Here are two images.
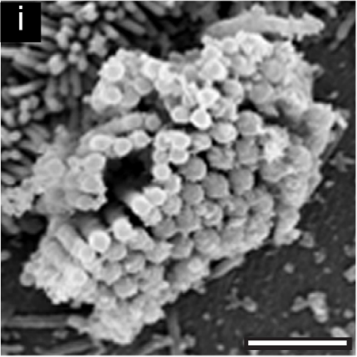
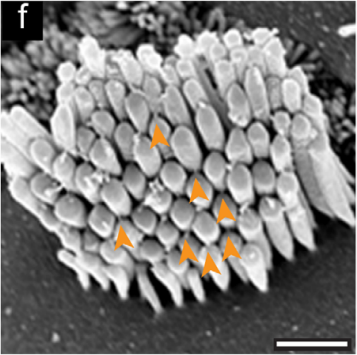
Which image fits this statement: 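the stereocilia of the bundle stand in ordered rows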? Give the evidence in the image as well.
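First image: stereocilia are crowded, irregular and a hole opens in the bundle. Second image: stereocilia stand in regular rows graded in height.
Conclusion: the second image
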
